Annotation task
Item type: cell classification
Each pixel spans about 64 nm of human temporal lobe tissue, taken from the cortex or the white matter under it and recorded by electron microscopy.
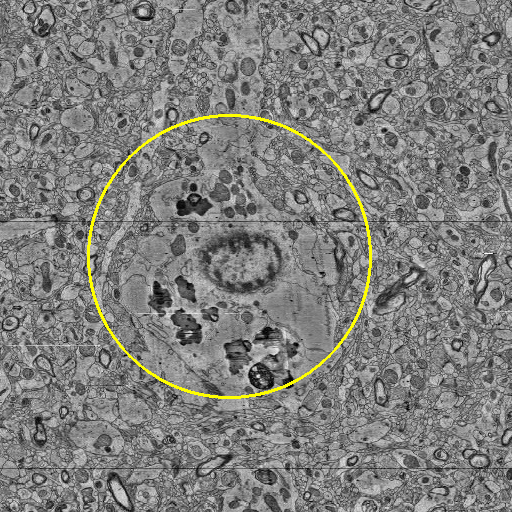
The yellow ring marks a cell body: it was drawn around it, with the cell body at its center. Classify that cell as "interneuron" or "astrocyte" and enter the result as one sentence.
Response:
The ring's center falls on an astrocyte.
